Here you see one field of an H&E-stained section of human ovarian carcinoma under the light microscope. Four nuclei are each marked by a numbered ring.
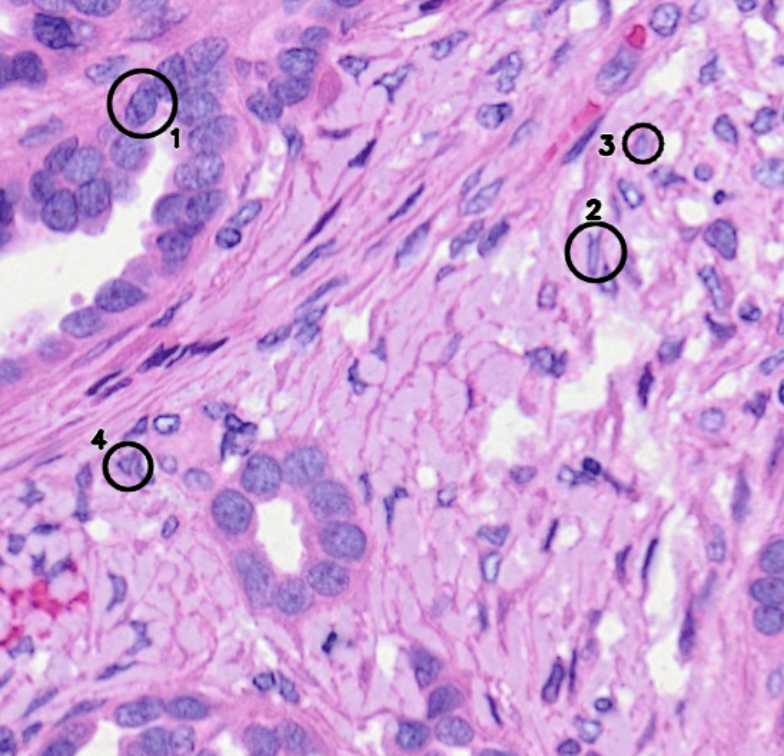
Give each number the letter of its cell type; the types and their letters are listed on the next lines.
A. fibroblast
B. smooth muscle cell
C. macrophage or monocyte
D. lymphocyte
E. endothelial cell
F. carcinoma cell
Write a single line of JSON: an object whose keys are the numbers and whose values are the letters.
{"1": "F", "2": "A", "3": "A", "4": "A"}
